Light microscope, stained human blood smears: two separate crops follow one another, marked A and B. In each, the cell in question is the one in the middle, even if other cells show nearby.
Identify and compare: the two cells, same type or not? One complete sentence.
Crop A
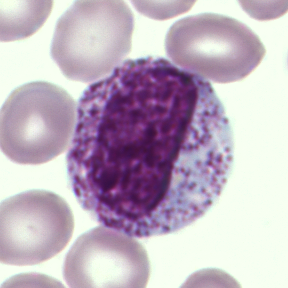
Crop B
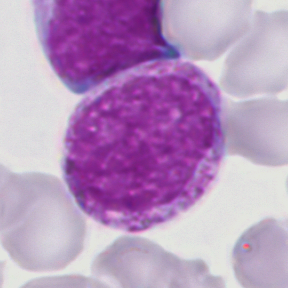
Yes, both crops in this set show myelocytes.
